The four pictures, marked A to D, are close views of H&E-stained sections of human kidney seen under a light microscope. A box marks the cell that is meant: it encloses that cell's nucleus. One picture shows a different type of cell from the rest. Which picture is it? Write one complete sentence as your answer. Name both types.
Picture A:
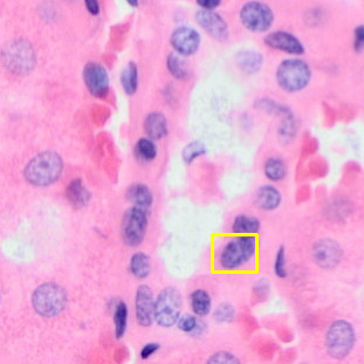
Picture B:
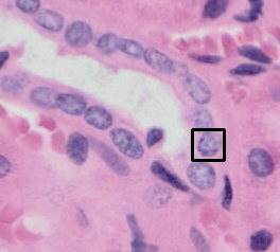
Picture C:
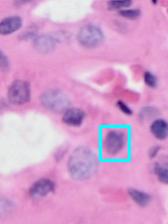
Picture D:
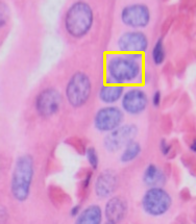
Unlike the rest, which show collecting duct cells, picture C shows a “loop of Henle or distal tubule cell”.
